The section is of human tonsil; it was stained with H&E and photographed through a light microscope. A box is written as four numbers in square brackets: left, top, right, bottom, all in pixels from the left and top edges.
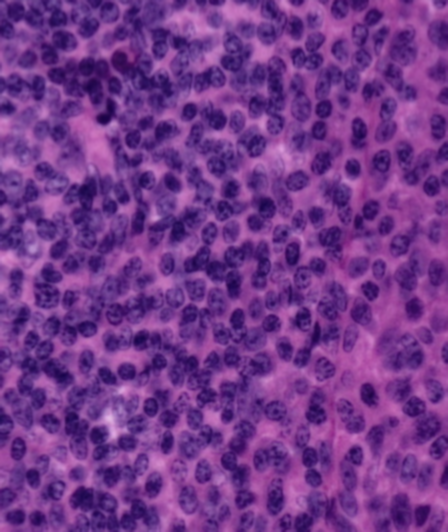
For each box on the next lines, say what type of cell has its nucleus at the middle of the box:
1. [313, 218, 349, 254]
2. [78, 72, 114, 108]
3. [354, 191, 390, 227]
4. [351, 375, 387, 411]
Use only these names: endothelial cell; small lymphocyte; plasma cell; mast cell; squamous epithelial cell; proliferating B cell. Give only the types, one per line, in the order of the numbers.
plasma cell
small lymphocyte
plasma cell
plasma cell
